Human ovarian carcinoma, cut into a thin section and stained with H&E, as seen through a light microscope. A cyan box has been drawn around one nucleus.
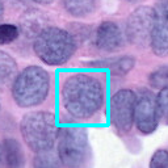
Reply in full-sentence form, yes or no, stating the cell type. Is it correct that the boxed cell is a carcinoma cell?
Yes, what the boxed cell represents in this tissue is a carcinoma cell.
